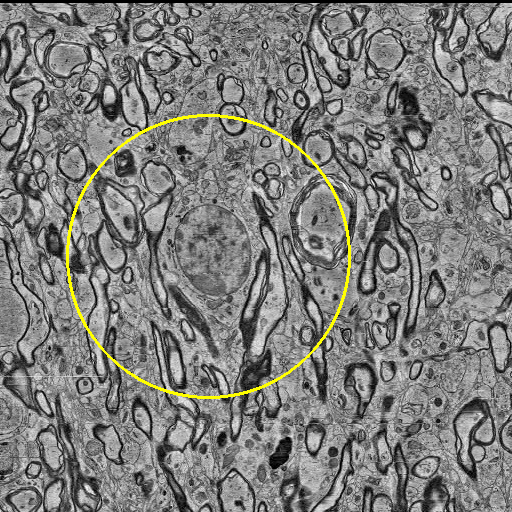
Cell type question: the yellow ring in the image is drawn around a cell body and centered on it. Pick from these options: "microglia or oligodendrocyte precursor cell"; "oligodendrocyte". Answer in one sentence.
The ringed cell at the center is a microglial cell or oligodendrocyte precursor cell.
